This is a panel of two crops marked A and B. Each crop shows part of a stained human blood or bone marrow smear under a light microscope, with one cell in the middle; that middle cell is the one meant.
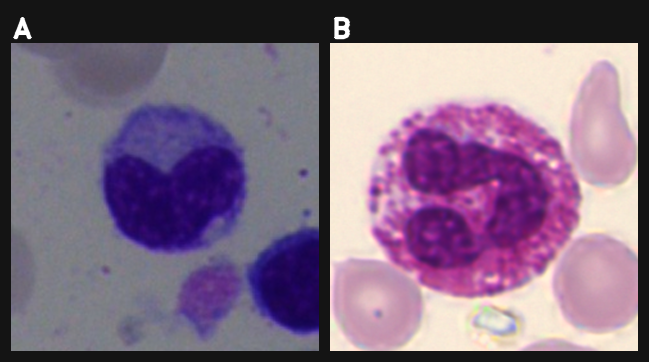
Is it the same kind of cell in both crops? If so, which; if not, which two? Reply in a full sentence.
No, in this case crop A shows a band neutrophil, and crop B shows an eosinophil.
